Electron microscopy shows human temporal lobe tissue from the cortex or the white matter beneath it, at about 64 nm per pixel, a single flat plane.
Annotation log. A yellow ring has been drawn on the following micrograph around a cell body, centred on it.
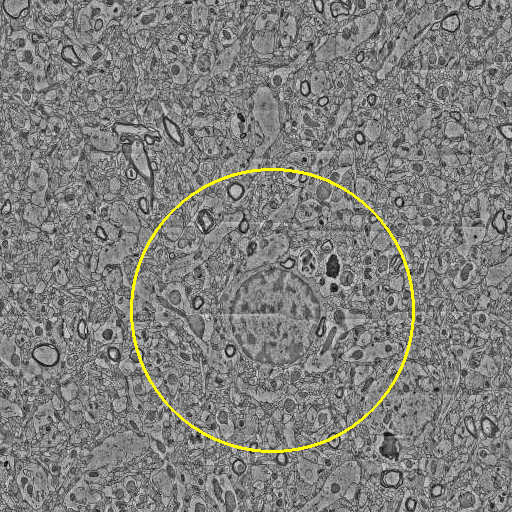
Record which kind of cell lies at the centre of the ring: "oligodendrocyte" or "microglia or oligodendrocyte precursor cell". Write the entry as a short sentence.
The cell the ring is centred on is an oligodendrocyte.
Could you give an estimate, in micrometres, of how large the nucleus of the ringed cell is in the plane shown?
The nucleus is about 6 micrometres across in this plane.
